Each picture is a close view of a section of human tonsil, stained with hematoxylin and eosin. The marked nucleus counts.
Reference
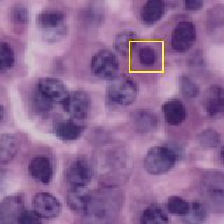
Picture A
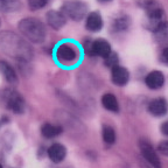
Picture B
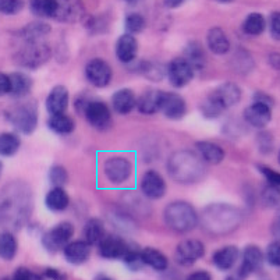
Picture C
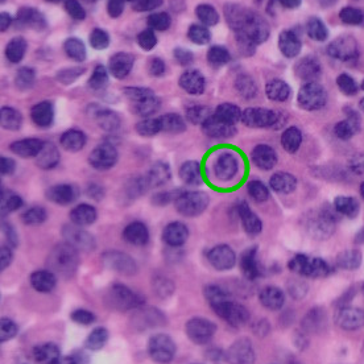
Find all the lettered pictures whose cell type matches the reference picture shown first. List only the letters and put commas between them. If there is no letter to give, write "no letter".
C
